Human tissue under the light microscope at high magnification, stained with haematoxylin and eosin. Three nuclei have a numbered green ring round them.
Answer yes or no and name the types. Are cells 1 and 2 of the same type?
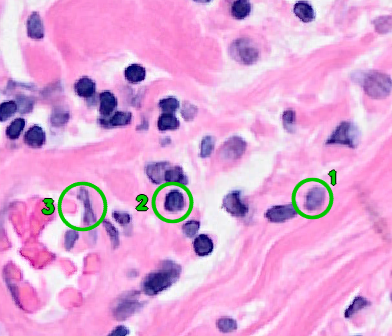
Yes, cells 1 and 2 fall into the same group, both being lymphocytes.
